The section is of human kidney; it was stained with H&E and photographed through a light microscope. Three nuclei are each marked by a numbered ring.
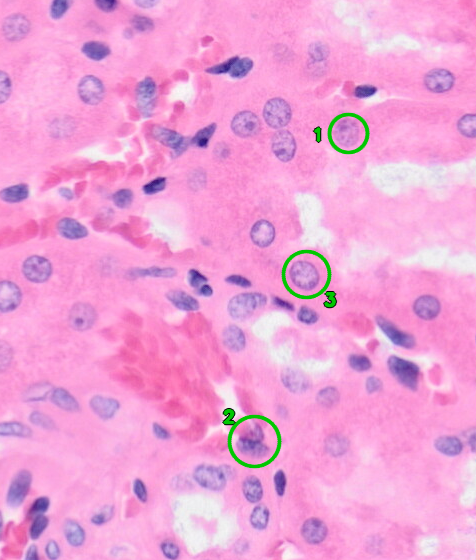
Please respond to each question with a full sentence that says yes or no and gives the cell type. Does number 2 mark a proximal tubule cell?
No, calling cell 2 a proximal tubule cell is a mistake; it is an endothelial cell.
